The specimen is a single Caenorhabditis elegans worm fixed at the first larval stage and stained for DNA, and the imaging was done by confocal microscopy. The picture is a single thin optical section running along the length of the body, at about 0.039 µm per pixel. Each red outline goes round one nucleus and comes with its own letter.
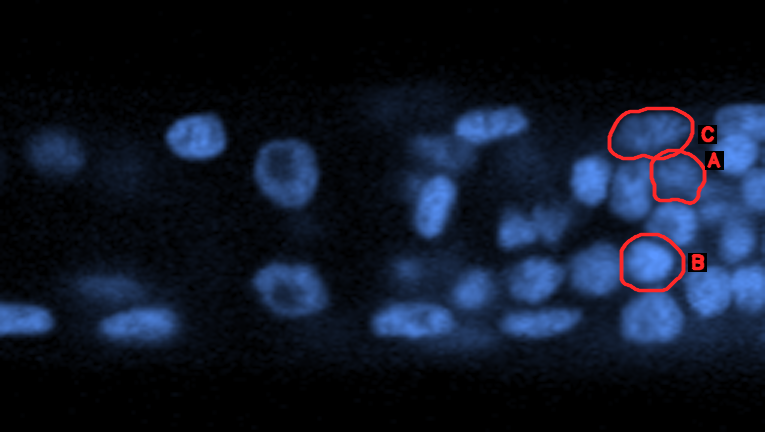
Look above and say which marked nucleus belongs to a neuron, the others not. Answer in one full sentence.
B is the nucleus of a neuron.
